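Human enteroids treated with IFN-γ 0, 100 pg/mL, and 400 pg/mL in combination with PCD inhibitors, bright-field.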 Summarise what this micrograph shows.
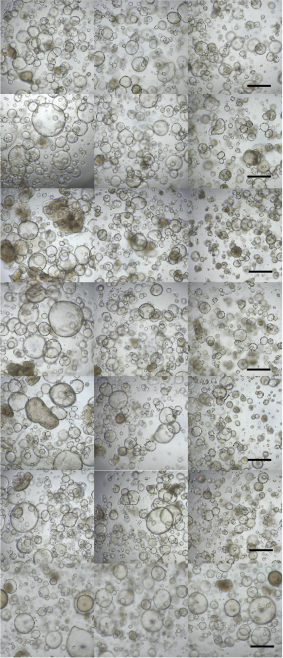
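Most are spherical cysts with a thin, pale epithelial wall around a clear central lumen, ranging from small dense spheres to large thin-walled cysts. Scattered among them are smaller, darker, more compact clumps.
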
